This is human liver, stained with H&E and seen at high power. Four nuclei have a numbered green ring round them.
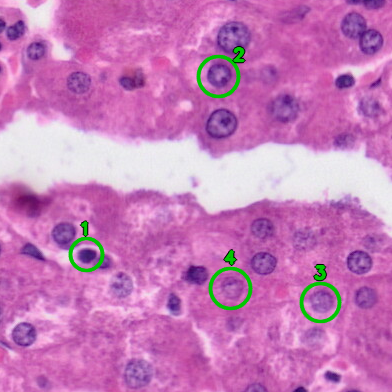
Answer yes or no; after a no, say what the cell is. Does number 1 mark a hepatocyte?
No, it is a lymphocyte.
